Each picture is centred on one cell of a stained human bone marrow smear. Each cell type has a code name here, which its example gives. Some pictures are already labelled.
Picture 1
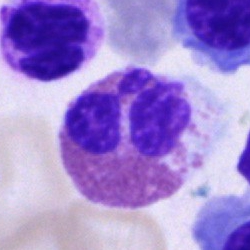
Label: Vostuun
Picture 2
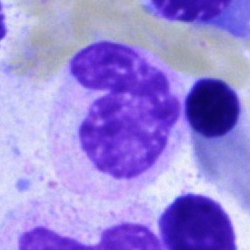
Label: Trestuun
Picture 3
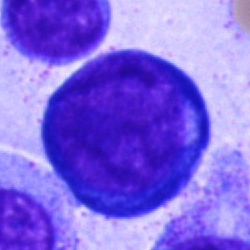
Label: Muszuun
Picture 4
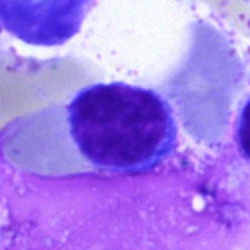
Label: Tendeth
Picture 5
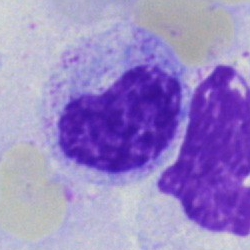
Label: Trestuun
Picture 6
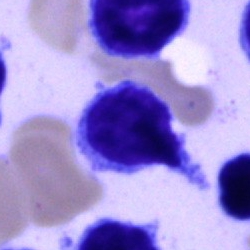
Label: Tendeth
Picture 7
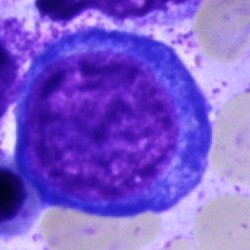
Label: Muszuun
